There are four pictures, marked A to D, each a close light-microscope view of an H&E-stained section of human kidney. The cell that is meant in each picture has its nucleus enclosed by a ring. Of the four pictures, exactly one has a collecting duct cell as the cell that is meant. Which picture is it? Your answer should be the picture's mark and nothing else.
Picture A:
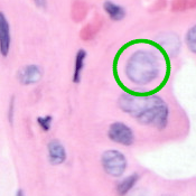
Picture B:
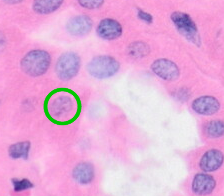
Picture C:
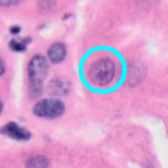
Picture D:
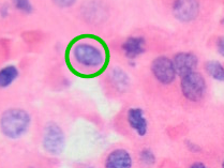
A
